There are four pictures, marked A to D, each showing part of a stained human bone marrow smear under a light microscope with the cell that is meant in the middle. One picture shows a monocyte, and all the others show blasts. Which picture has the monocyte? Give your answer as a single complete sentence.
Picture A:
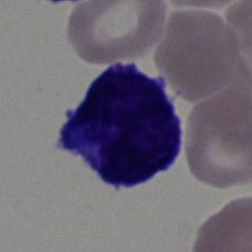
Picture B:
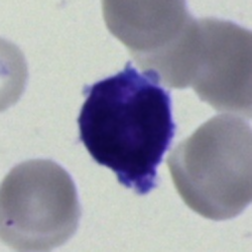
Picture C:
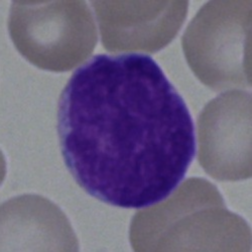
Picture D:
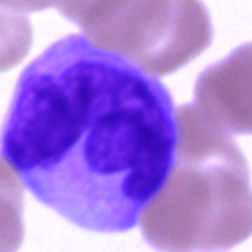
The cell in picture D is the monocyte.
